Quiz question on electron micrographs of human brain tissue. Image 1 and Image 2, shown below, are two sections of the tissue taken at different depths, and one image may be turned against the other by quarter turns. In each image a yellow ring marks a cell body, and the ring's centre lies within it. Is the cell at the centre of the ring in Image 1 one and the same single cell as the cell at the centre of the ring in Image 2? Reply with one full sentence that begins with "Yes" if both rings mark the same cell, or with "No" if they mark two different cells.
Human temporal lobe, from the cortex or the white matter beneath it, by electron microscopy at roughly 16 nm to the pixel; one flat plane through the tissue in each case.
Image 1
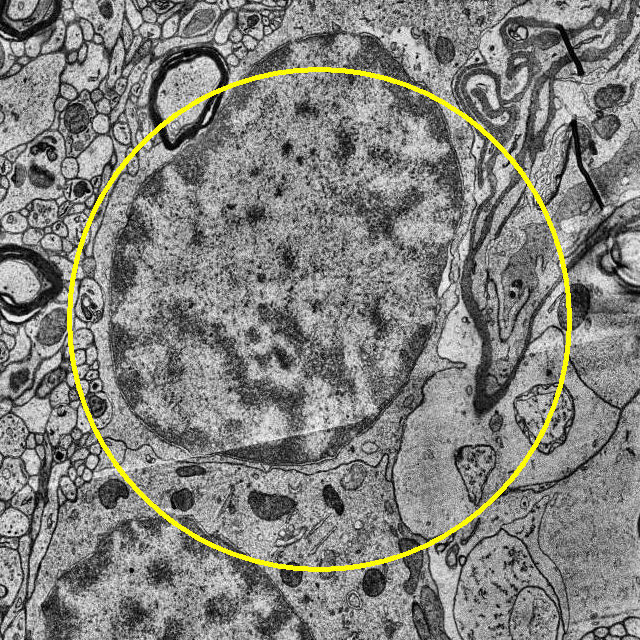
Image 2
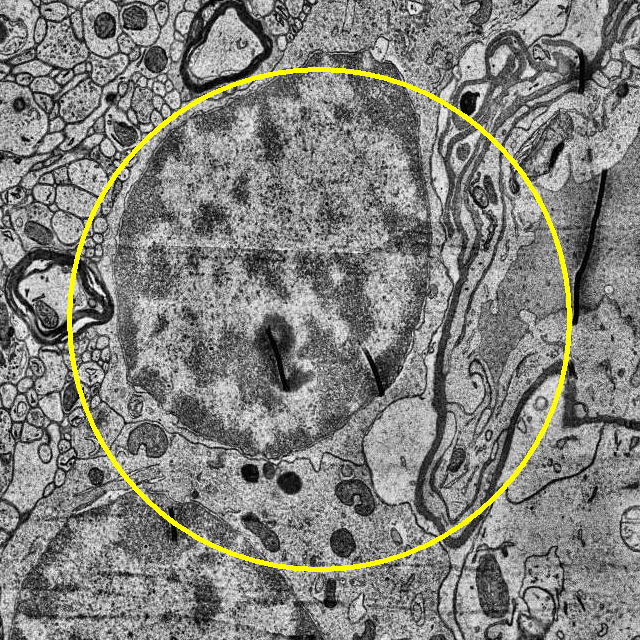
Yes, each ring singles out the same cell.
